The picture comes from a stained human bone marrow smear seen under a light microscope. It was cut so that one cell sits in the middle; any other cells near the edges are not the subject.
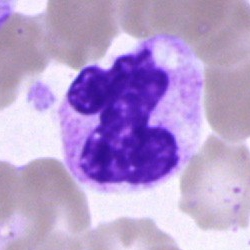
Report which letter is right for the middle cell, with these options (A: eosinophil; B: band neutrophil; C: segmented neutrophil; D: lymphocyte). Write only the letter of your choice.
C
